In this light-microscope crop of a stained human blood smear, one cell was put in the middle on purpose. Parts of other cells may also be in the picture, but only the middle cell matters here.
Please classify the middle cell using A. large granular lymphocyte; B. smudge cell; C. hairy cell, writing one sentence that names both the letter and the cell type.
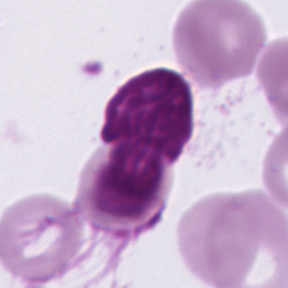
The cell in the middle is correctly identified as a smudge cell in option B.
